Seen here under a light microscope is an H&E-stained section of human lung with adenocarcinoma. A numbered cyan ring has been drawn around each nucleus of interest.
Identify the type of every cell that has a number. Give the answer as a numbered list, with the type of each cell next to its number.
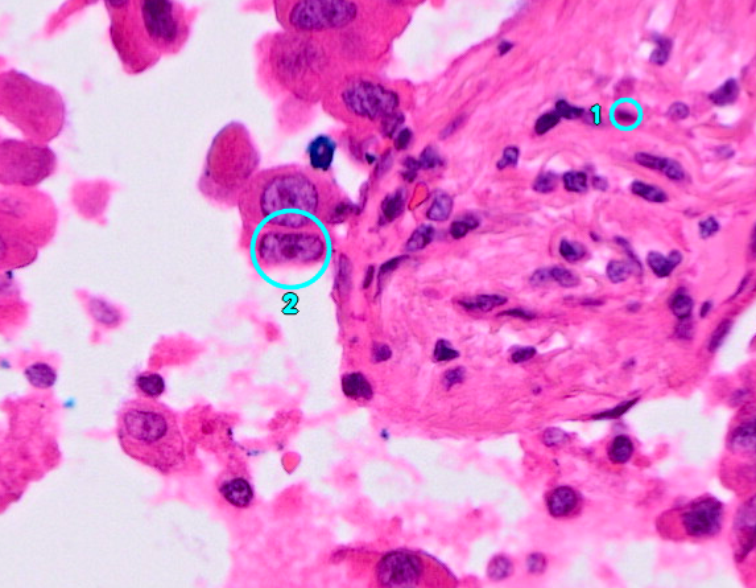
1. plasma cell
2. carcinoma cell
